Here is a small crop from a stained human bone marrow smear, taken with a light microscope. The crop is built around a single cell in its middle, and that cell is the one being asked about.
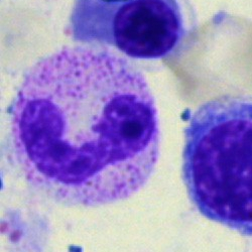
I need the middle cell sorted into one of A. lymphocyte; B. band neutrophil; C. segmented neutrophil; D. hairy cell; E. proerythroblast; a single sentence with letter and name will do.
The cell shown centrally is a band neutrophil; option B is the correct option.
